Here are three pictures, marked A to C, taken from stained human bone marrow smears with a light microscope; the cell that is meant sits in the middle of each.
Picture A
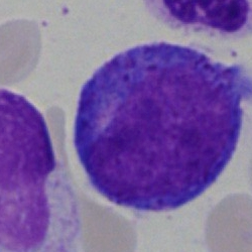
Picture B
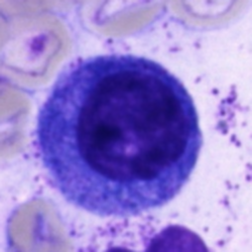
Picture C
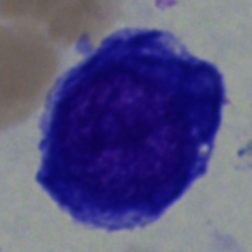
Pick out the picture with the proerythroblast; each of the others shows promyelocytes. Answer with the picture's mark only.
C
